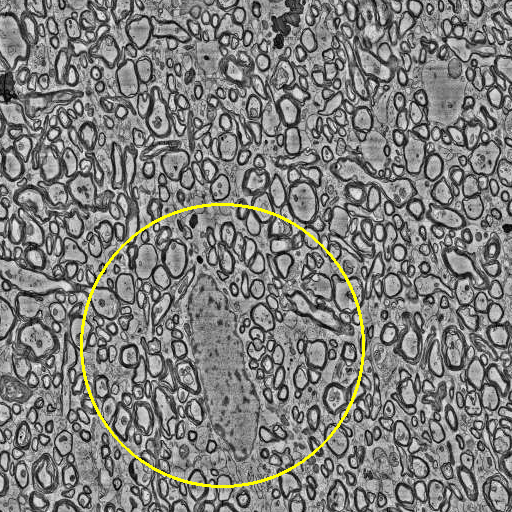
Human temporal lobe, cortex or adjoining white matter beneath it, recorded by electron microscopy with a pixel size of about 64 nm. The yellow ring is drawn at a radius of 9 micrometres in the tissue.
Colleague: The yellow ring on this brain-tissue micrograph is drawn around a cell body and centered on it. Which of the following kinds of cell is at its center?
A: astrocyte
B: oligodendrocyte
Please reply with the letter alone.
A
